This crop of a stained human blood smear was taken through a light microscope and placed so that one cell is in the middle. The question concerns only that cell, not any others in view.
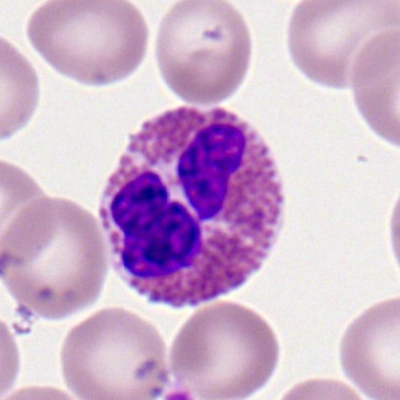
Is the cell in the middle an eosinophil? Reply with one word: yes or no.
yes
